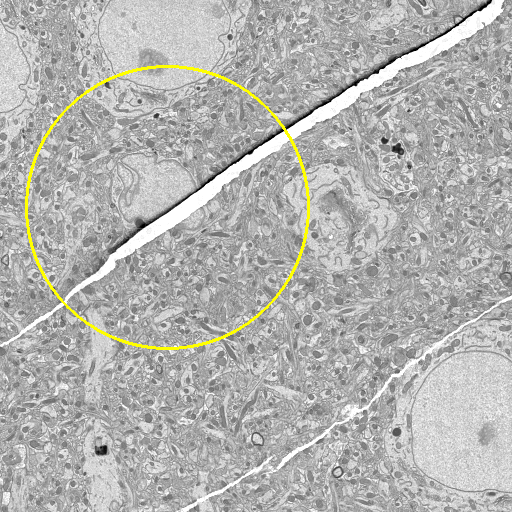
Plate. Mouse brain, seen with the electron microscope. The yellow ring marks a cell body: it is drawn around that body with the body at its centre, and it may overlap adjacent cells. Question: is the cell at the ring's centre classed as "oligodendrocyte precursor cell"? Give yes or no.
yes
